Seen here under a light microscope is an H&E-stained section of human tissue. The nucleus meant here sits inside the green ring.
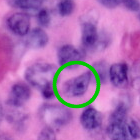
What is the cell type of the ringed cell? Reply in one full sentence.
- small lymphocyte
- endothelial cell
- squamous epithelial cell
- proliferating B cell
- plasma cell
Labelled by cell type, the ringed cell is a proliferating B cell.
